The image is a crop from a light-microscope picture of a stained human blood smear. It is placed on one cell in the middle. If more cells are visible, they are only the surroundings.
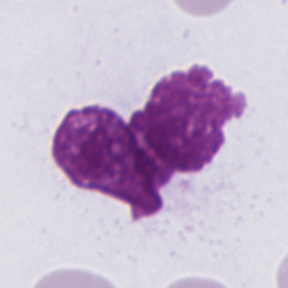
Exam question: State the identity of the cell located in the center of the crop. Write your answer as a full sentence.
Centred in the crop is a smudge cell.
